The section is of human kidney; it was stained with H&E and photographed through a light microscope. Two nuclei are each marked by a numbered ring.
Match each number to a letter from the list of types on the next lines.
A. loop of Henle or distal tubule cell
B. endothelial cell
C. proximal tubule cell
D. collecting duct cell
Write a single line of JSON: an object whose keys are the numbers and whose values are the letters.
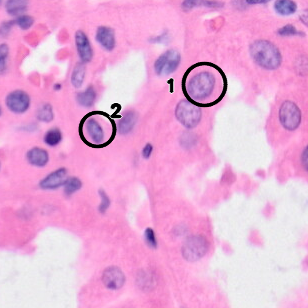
{"1": "C", "2": "D"}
